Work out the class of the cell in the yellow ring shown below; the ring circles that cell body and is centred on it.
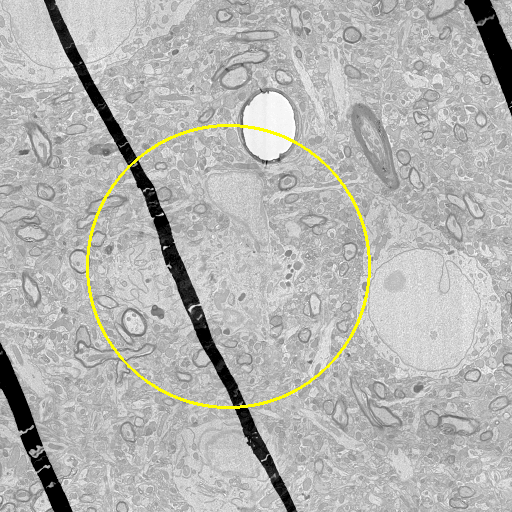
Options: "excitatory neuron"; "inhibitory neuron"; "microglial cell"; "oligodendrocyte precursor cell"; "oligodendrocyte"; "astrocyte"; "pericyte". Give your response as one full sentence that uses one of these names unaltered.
The body ringed in yellow, right at the ring's centre, is that of an oligodendrocyte precursor cell.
